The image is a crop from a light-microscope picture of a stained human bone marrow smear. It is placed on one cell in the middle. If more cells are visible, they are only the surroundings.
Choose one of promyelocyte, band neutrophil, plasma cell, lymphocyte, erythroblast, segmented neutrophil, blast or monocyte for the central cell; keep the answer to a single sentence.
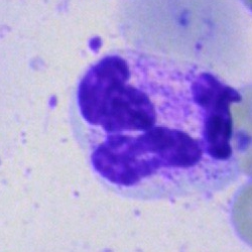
The crop's centre is taken up by a segmented neutrophil.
